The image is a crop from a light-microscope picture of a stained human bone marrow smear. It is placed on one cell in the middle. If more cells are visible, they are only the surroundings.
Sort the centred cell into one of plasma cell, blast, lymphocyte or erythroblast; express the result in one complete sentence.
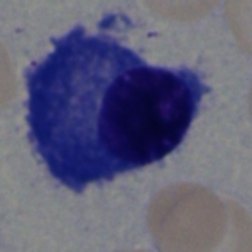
The middle of this crop is occupied by a plasma cell.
